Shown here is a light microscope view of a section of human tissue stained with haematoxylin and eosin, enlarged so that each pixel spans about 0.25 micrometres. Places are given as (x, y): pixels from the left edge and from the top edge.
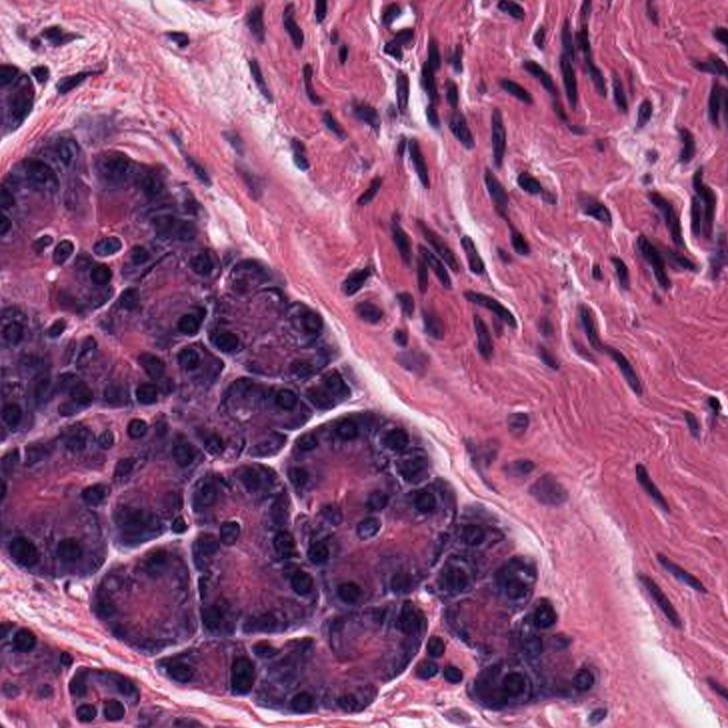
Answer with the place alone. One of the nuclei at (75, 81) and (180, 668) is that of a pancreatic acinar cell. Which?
(180, 668)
